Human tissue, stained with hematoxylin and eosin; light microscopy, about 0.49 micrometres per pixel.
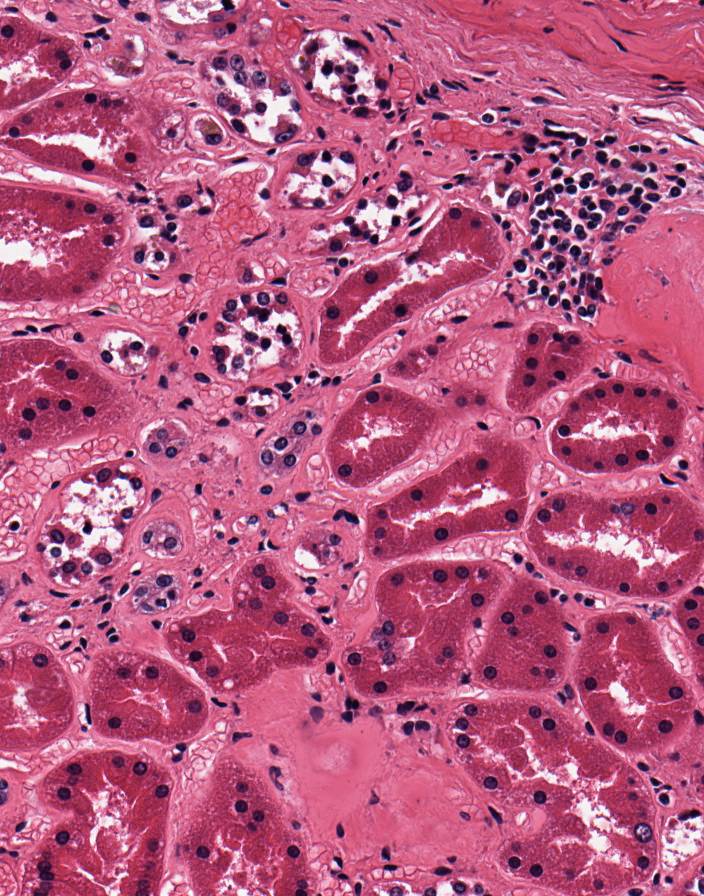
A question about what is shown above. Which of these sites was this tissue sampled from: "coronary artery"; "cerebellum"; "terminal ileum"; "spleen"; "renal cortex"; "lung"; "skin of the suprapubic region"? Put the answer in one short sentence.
The site this tissue was sampled from is the renal cortex.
